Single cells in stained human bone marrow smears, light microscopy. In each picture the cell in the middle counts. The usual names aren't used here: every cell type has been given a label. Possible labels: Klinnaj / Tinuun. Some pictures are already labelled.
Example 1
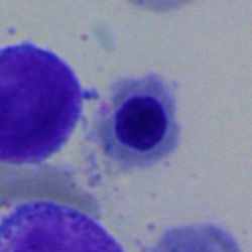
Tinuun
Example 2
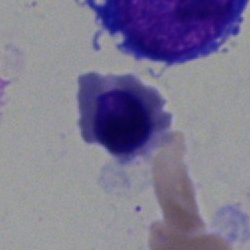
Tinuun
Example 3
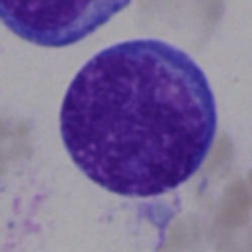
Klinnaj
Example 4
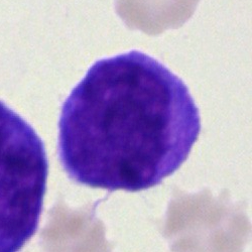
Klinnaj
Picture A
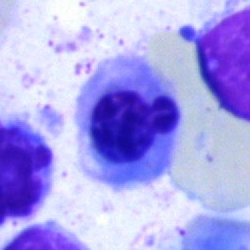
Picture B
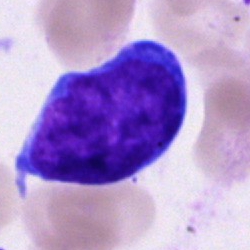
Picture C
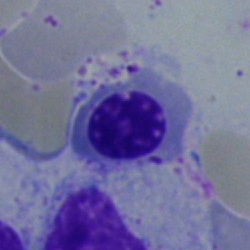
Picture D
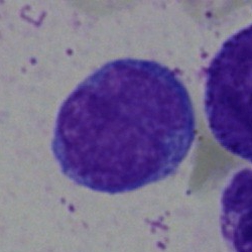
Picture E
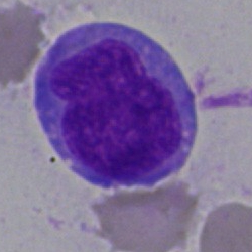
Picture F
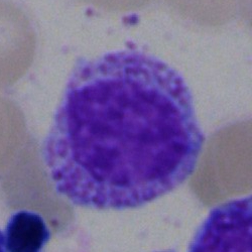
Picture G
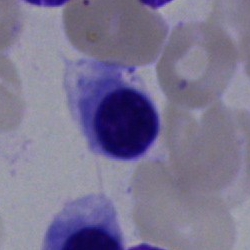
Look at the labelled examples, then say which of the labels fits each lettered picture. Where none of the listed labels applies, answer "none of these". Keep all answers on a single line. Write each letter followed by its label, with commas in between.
A Tinuun, B Klinnaj, C Tinuun, D Klinnaj, E Klinnaj, F none of these, G Tinuun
